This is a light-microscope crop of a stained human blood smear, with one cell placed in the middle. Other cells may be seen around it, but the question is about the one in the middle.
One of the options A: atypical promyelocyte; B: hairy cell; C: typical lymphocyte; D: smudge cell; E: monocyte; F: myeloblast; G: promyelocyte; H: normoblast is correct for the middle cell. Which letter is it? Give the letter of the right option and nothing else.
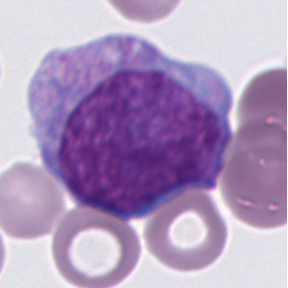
A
